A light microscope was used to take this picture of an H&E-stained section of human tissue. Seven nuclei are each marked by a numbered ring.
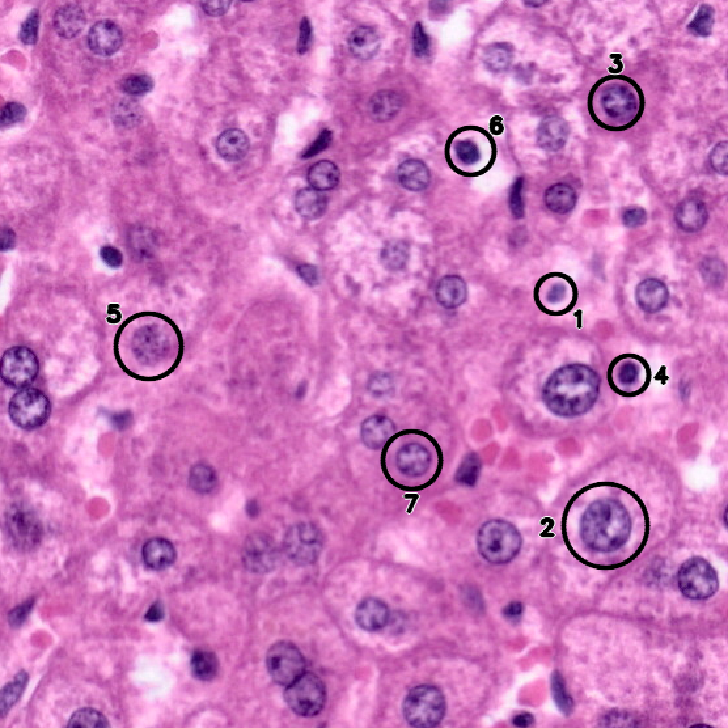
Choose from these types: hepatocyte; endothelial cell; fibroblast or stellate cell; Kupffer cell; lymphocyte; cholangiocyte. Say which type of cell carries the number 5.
hepatocyte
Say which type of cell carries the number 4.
lymphocyte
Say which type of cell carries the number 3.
hepatocyte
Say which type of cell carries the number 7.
hepatocyte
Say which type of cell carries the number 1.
lymphocyte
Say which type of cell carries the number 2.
hepatocyte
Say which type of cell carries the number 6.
lymphocyte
